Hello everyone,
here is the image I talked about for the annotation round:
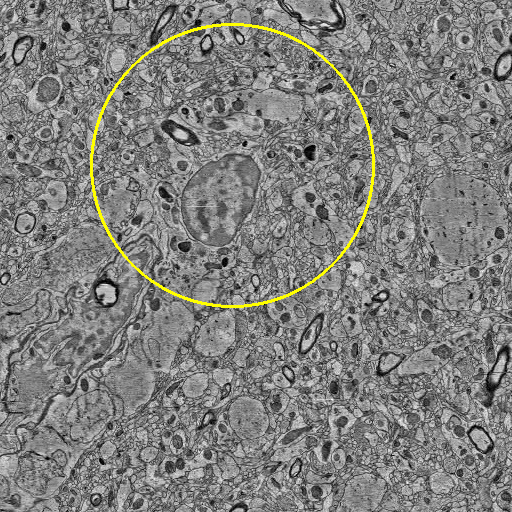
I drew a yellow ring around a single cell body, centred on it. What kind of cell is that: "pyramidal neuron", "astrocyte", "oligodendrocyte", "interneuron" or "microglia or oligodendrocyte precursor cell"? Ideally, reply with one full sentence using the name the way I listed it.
The cell your yellow ring is centred on is a microglial cell or oligodendrocyte precursor cell, going by your list.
